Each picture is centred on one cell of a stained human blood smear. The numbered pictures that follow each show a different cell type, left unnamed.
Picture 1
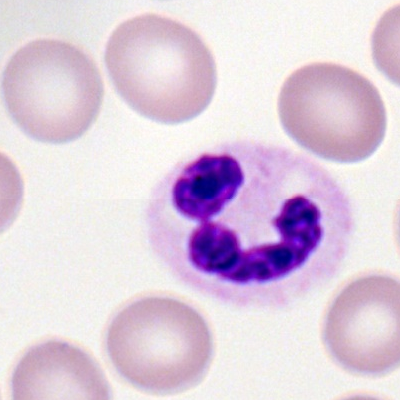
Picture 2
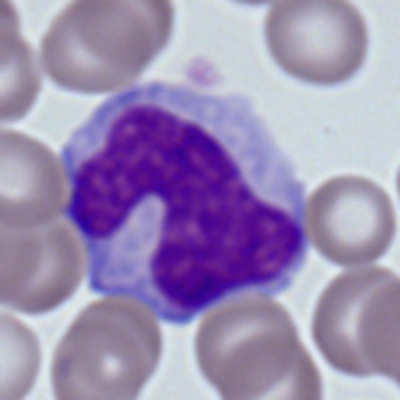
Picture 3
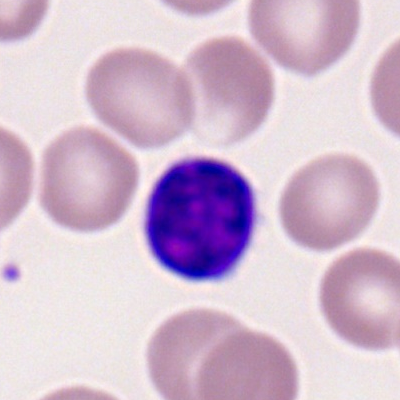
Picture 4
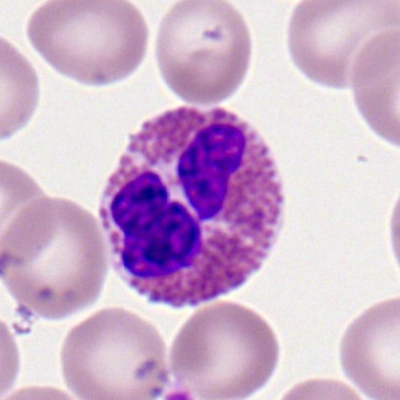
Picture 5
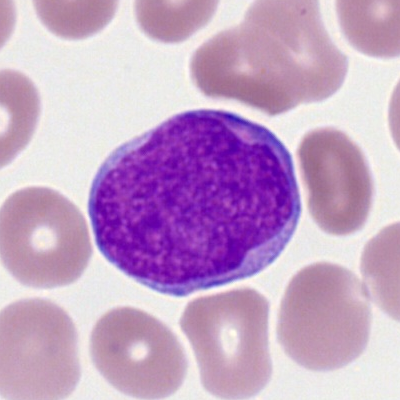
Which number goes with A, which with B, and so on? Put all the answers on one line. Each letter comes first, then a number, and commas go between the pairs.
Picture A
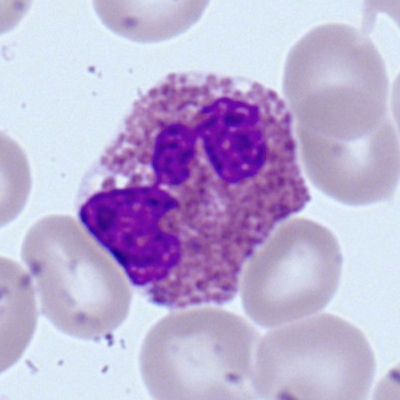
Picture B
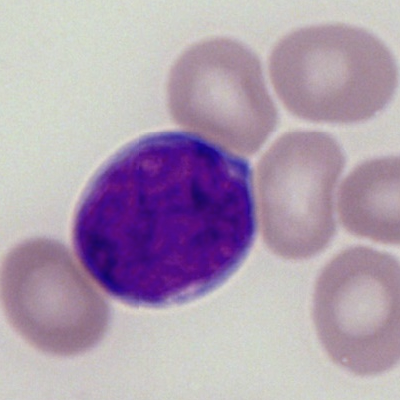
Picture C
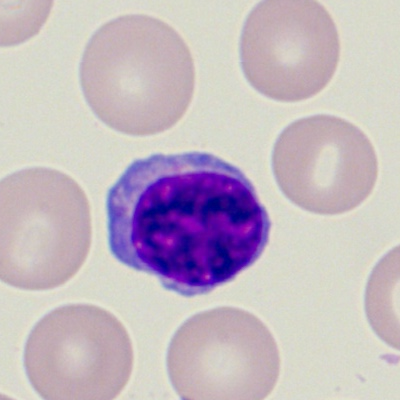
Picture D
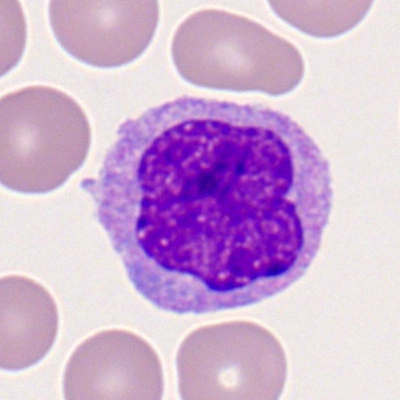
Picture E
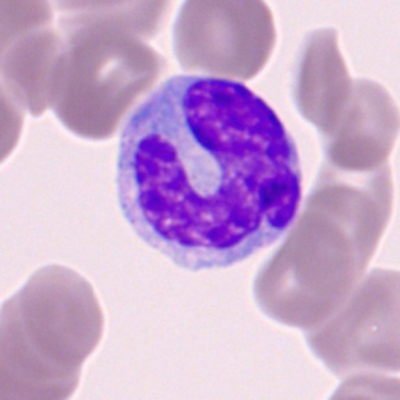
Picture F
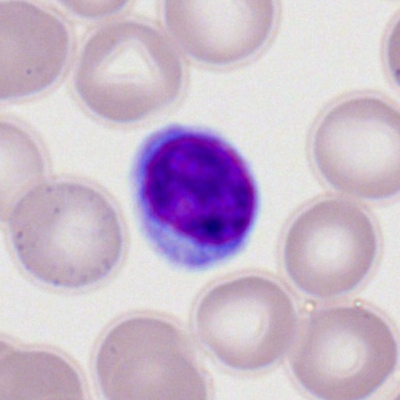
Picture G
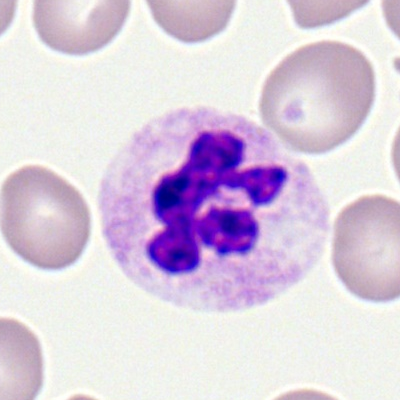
A 4, B 5, C 3, D 2, E 2, F 3, G 1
